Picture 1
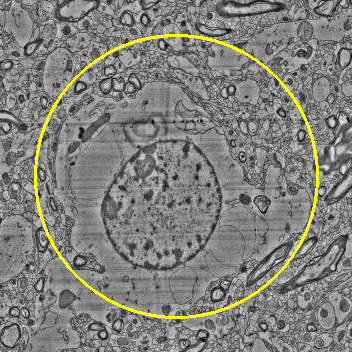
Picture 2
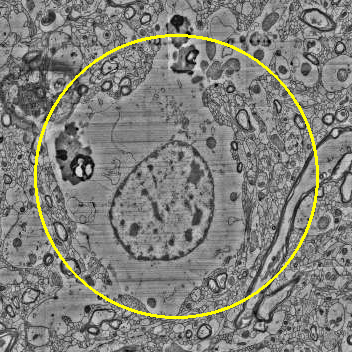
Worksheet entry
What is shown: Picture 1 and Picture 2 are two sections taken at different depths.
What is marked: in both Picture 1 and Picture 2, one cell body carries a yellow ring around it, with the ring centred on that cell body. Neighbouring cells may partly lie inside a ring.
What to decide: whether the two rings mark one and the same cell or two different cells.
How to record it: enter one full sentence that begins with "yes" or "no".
Yes, what the two rings mark is one cell.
